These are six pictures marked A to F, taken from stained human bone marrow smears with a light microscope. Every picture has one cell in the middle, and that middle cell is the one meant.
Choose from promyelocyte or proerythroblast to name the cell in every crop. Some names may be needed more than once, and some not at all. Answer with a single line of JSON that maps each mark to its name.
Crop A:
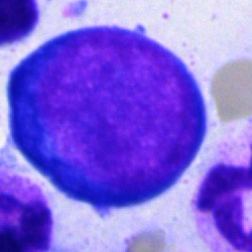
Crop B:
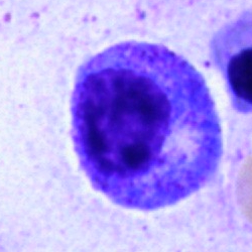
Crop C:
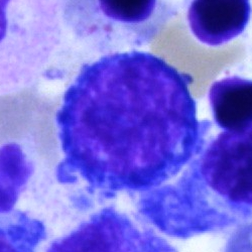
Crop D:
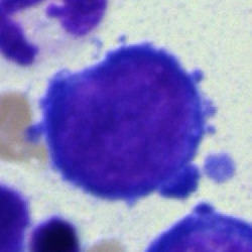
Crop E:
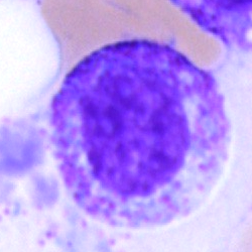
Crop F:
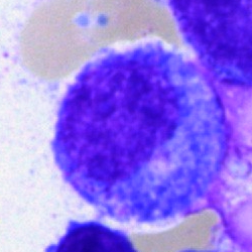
{"A": "proerythroblast", "B": "promyelocyte", "C": "proerythroblast", "D": "proerythroblast", "E": "promyelocyte", "F": "promyelocyte"}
